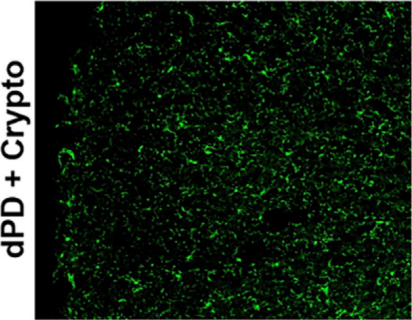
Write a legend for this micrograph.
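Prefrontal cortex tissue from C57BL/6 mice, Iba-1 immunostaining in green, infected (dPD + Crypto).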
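The cells are numerous and spread across the whole field without a clear layering. The green processes of neighbouring cells often come close to one another, giving the field a fine, speckled look.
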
